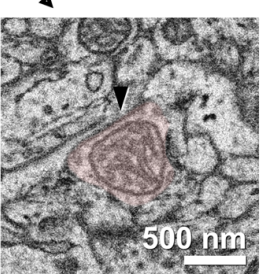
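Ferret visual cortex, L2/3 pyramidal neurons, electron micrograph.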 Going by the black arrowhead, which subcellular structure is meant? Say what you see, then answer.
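A membrane-bound organelle with inner membrane folds fills much of the tinted profile. The arrowhead points at this profile. On this evidence: mitochondria.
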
